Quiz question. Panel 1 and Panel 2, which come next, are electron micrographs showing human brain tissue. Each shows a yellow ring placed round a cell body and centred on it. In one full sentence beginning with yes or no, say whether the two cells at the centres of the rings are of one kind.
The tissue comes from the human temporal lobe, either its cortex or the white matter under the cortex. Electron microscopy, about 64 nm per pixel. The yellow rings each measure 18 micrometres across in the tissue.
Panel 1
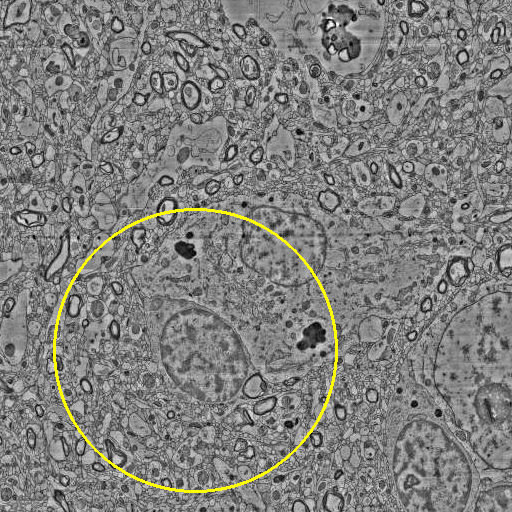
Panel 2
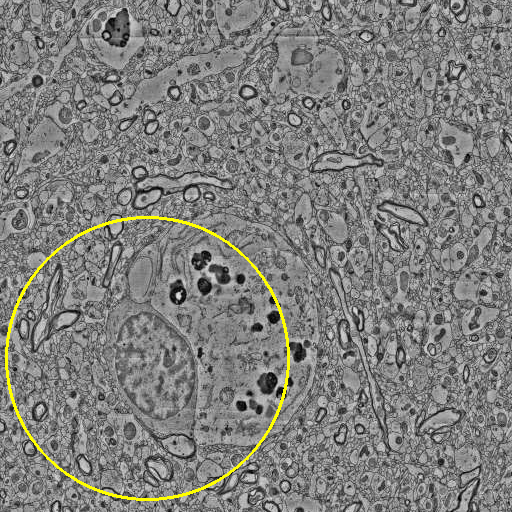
Yes, Panel 1 and Panel 2 show one kind of cell at the centre of the ring.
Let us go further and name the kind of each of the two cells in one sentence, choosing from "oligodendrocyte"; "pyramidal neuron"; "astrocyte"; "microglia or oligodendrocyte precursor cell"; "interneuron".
Both rings mark an oligodendrocyte, one in each picture.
